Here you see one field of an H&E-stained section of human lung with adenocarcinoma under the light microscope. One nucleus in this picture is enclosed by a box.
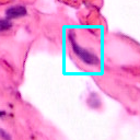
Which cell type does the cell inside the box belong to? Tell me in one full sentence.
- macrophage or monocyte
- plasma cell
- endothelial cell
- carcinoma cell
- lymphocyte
The cell type of the cell inside the box is that of an endothelial cell.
